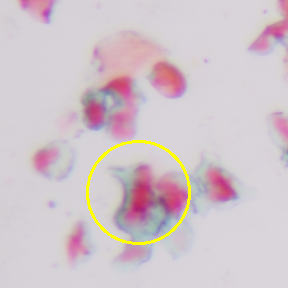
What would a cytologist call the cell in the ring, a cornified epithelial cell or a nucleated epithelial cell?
A cytologist would call it a nucleated epithelial cell.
